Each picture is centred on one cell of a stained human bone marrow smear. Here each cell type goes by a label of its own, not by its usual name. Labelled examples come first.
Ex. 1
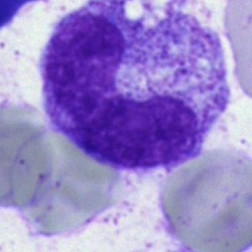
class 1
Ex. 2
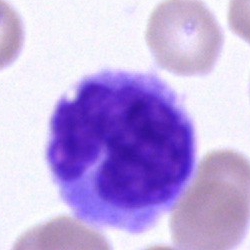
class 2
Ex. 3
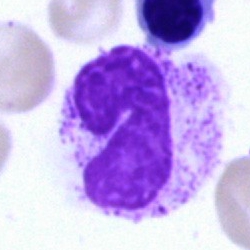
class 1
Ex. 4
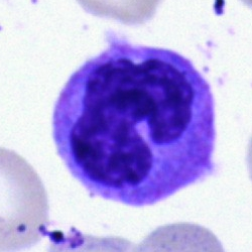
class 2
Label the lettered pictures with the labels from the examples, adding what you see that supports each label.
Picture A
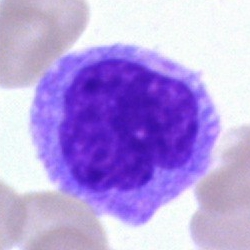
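class 2. Reason: The nucleus fills most of the cell and leaves a rim of cytoplasm all around it.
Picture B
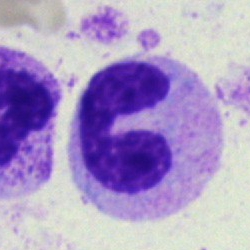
class 1. Reason: The cytoplasm is plentiful and pale lilac-pink.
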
